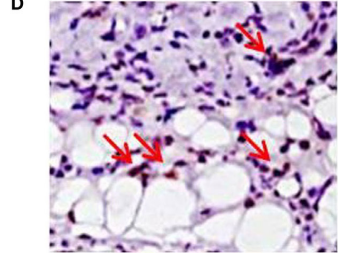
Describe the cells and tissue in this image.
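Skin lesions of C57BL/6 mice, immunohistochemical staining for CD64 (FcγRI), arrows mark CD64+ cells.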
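The infiltrate consists of many small cells with dark purple, round, oval or elongated nuclei and scant cytoplasm. Scattered cells among the infiltrate carry a brown-red cytoplasmic stain. Several of these stained cells lie at the edges of the fat cells, and others lie within the denser infiltrate above.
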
